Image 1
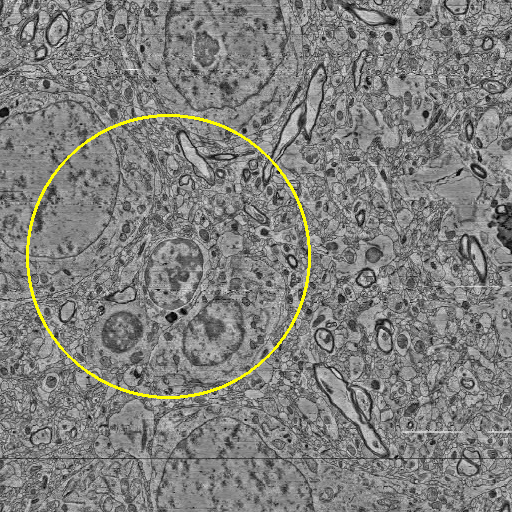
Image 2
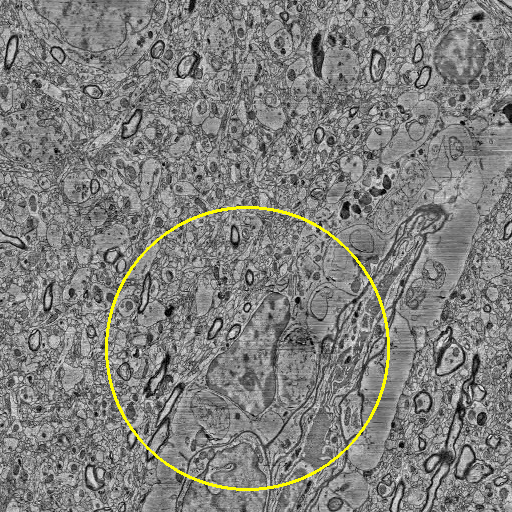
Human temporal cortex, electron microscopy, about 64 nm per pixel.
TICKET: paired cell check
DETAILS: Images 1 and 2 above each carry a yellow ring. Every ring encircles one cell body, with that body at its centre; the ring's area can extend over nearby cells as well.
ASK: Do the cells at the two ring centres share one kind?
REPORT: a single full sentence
Yes, the ring-centre cells of Images 1 and 2 belong to a single kind.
